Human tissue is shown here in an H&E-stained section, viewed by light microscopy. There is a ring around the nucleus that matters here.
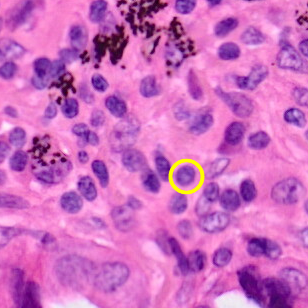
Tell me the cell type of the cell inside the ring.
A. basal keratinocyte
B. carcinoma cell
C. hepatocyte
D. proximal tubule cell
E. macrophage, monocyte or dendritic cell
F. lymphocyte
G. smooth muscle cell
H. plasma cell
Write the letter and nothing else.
F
